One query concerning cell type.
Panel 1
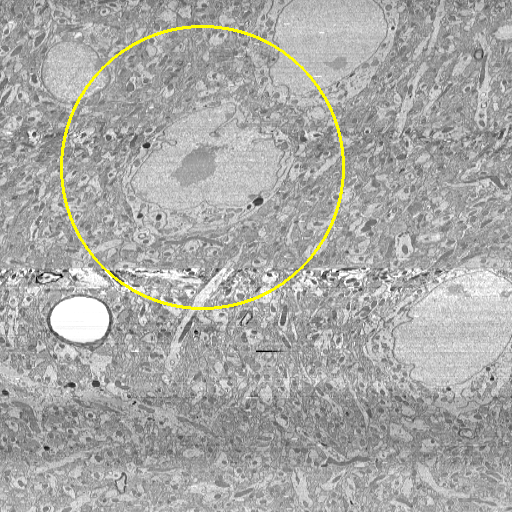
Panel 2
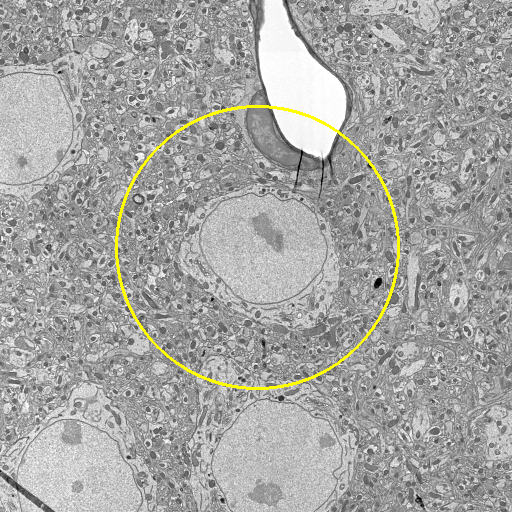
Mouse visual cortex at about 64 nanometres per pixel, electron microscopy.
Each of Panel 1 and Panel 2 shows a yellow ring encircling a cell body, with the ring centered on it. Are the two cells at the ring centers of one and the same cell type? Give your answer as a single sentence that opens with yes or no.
No, the cell centered in Panel 1 and the one in Panel 2 are of two types.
